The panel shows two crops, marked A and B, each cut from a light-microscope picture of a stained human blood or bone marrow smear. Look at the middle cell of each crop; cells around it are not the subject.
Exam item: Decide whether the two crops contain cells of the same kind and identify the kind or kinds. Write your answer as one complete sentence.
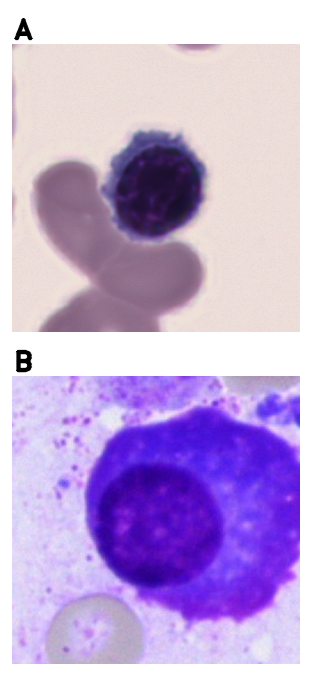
Yes, both crops show plasma cells as the central cells.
